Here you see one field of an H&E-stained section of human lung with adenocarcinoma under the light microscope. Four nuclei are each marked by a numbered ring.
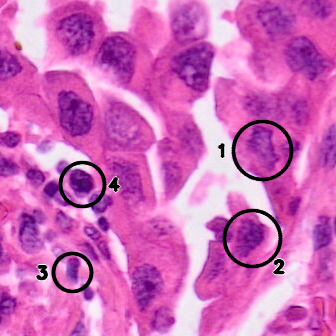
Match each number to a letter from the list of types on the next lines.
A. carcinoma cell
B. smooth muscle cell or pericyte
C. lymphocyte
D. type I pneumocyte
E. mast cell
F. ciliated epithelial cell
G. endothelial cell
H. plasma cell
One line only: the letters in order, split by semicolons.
A; A; C; C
